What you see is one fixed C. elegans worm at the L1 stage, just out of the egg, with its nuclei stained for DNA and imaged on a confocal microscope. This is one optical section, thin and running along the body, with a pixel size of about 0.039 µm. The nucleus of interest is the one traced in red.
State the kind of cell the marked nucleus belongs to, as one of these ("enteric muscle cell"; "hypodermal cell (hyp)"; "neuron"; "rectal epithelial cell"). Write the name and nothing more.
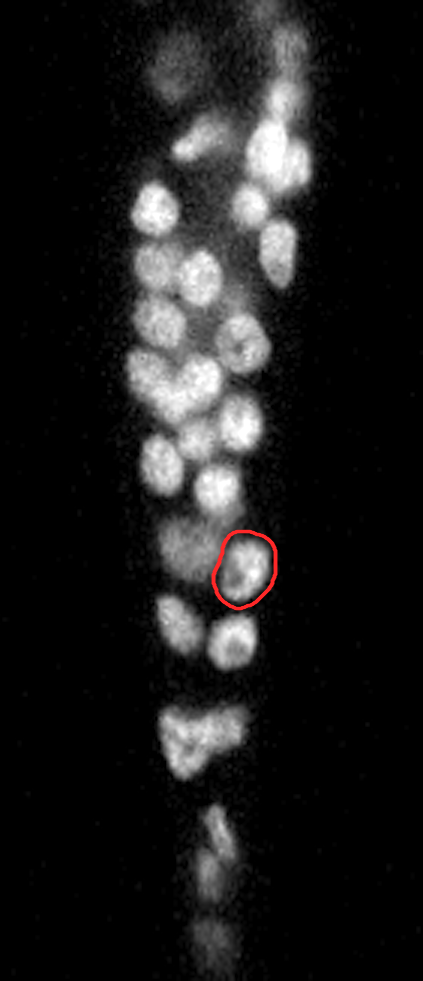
hypodermal cell (hyp)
